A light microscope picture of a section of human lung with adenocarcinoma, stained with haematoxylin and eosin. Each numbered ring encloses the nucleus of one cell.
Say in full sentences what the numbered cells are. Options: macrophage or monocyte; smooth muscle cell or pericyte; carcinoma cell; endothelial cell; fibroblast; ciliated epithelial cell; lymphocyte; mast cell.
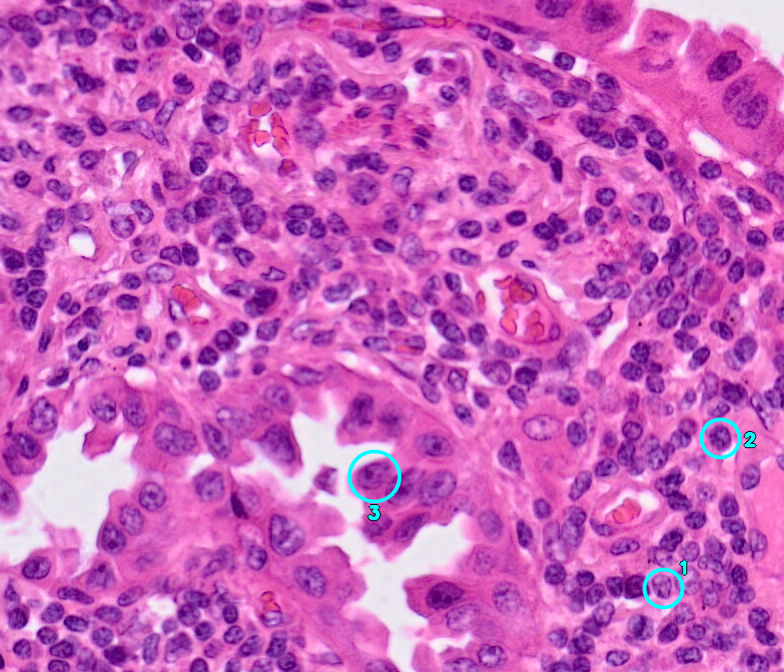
Cell 1 is a lymphocyte, cell 2 is a lymphocyte and cell 3 is a carcinoma cell.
